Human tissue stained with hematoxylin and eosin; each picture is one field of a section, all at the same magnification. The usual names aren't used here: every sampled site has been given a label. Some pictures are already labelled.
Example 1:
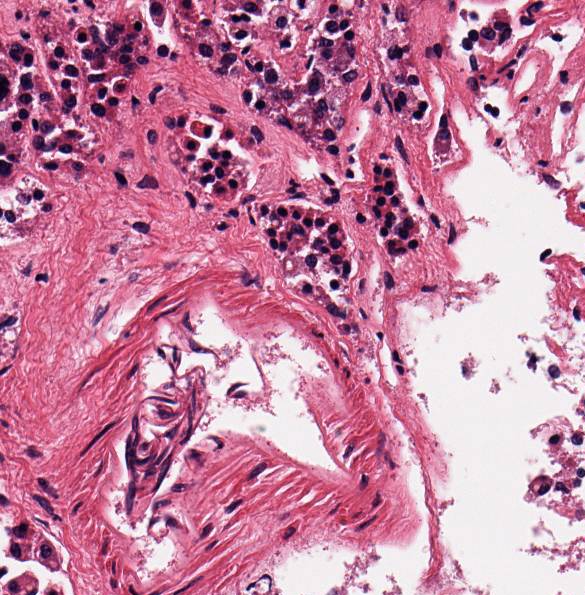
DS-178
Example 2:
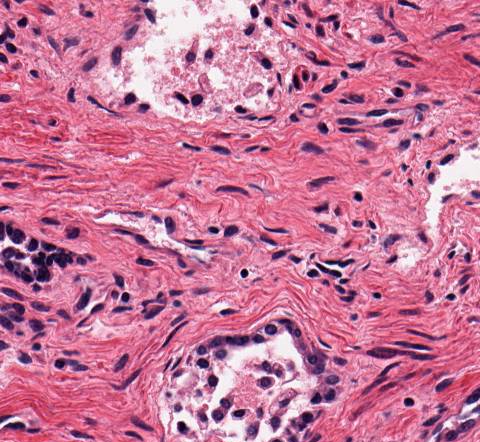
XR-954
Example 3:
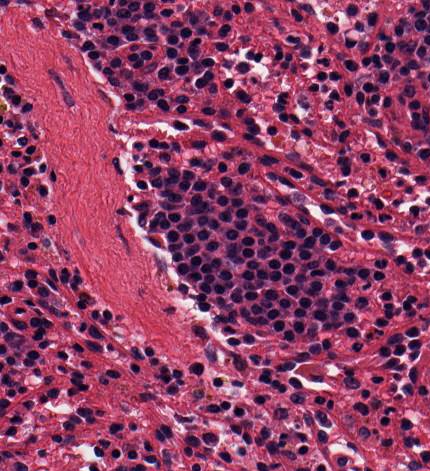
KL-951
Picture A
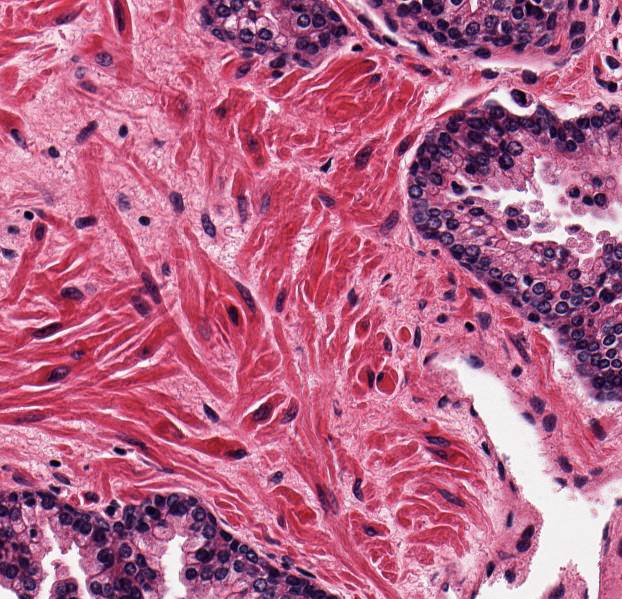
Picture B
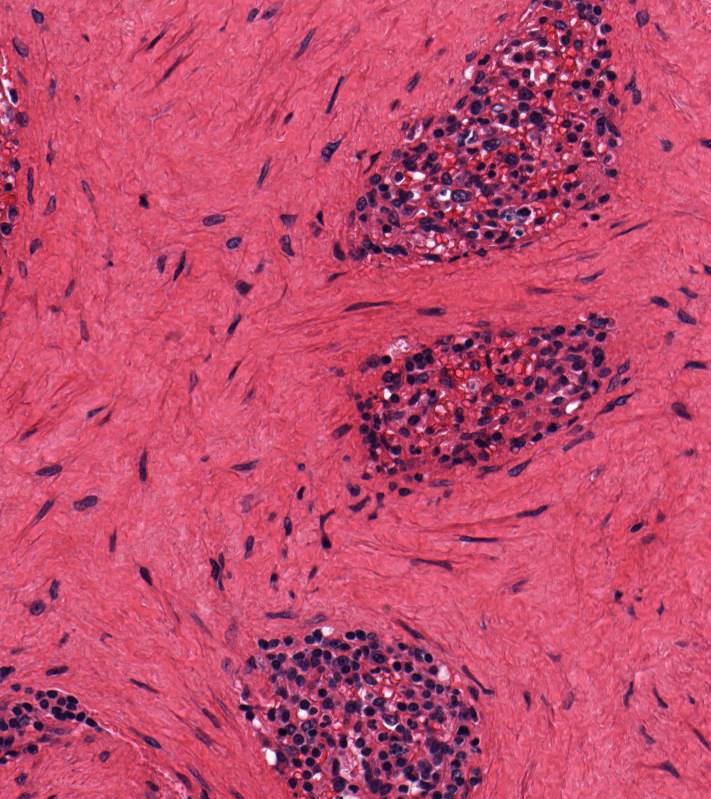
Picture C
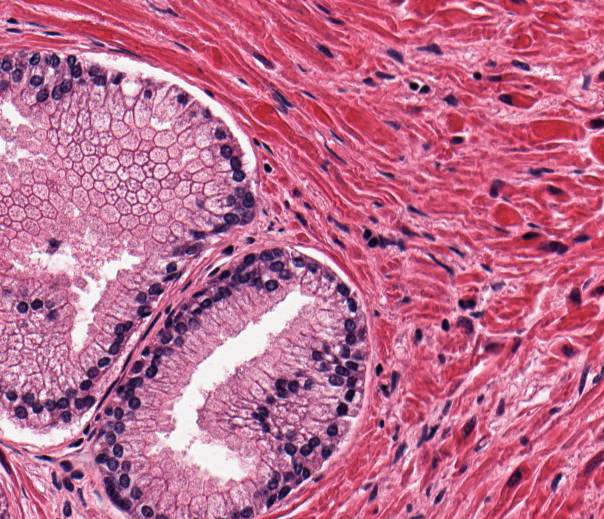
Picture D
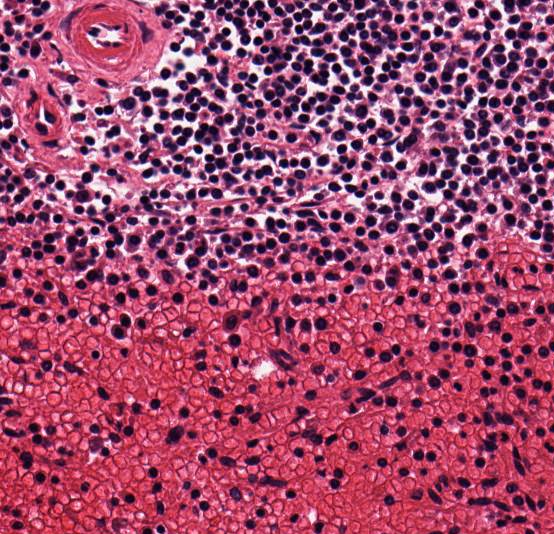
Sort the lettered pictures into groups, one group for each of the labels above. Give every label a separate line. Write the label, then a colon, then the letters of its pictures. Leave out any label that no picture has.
XR-954: A, C
KL-951: B, D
